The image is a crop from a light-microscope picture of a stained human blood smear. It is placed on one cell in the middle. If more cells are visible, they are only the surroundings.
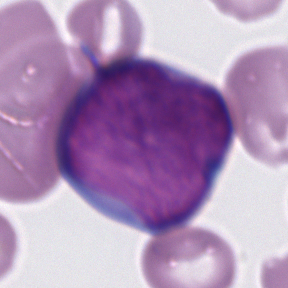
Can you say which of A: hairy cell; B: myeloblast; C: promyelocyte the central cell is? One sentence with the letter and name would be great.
The correct identification, given in option B, is that the central cell is a myeloblast.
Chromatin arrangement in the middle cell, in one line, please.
No coarse chromatin clumps are present; the pattern is fine.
